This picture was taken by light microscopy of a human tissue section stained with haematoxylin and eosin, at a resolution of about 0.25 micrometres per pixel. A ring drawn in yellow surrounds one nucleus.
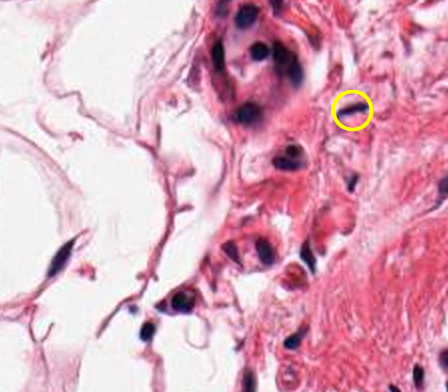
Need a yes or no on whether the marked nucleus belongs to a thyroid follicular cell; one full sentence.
No, the marked nucleus is part of a supporting cell and does not belong to a thyroid follicular cell.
